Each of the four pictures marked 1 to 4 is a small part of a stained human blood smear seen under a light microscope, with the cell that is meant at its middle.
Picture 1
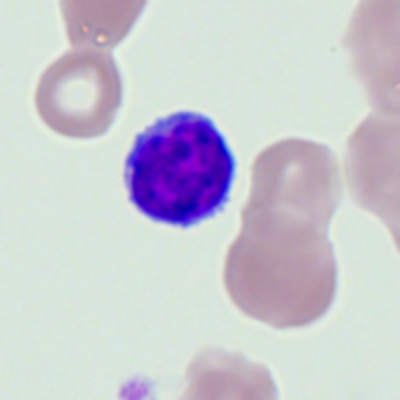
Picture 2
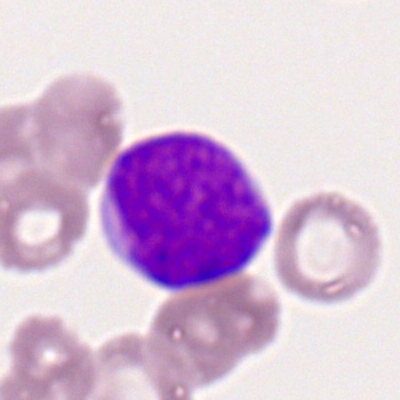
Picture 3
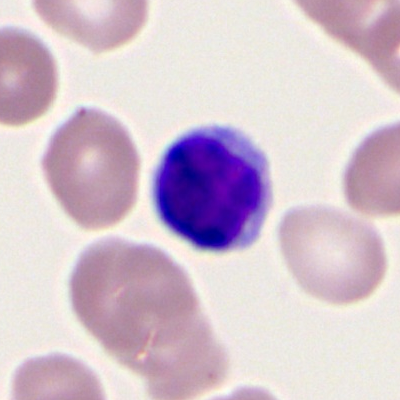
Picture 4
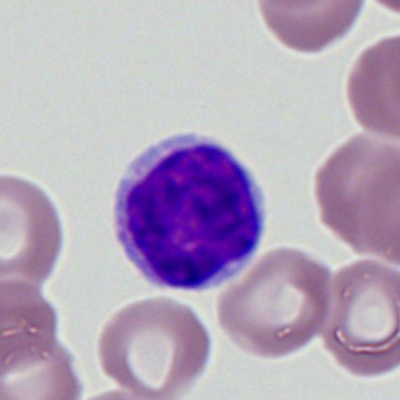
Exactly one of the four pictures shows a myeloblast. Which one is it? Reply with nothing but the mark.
2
